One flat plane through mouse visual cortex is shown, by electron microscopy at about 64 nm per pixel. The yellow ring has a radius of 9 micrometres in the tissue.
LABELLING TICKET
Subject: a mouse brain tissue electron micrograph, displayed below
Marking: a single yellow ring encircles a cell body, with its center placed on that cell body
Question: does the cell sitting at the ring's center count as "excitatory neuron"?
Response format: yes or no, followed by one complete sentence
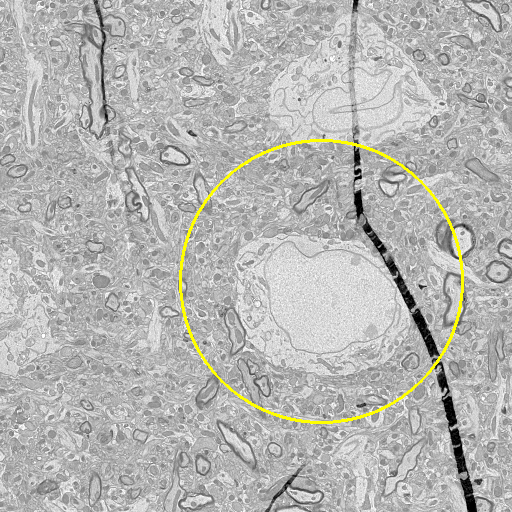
Yes, the cell at the center of the ring in the picture is of that kind.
